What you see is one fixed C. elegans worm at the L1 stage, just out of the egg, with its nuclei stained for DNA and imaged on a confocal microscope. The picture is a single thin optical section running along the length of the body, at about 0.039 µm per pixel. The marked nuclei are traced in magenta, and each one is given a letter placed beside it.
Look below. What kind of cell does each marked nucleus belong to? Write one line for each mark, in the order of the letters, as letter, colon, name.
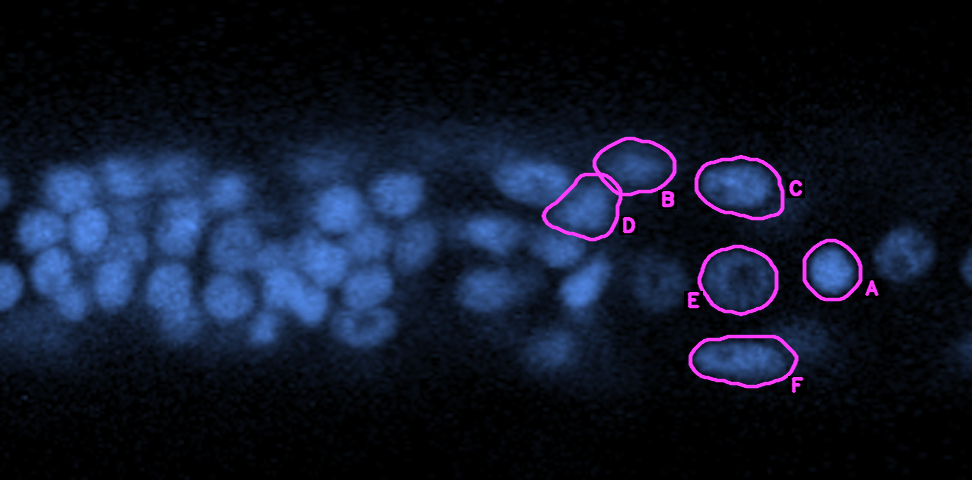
A: neuron
B: body wall muscle cell
C: body wall muscle cell
D: cell of the excretory system
E: hypodermal cell (hyp)
F: body wall muscle cell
